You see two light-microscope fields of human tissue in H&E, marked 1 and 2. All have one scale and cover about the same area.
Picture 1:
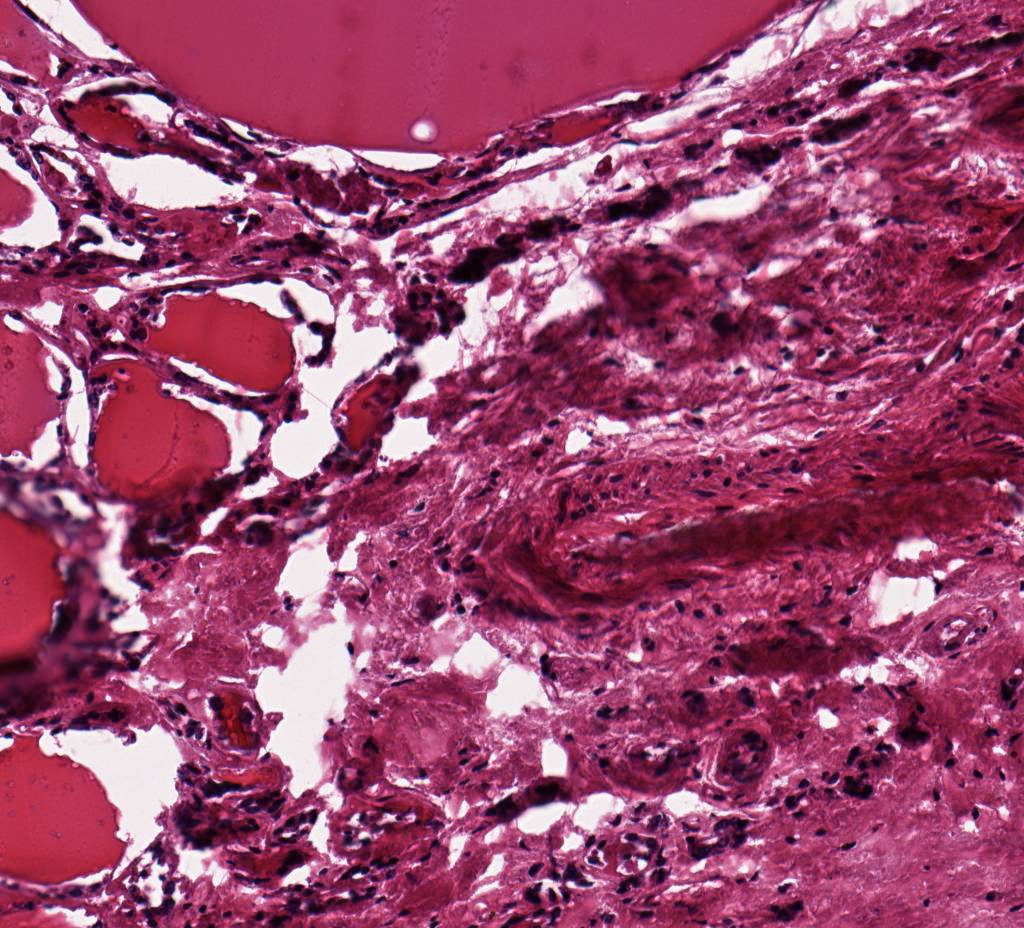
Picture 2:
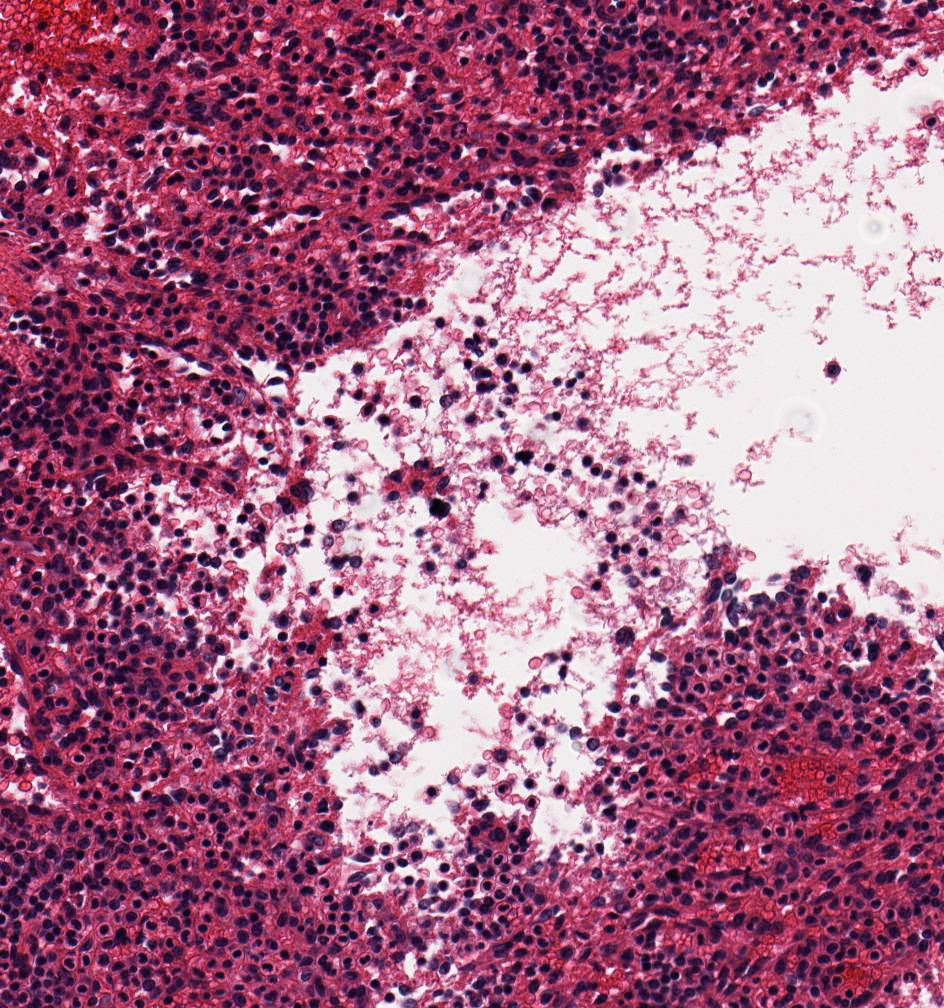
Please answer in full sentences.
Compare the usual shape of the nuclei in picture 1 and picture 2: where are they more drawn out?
It is picture 1 whose nuclei are the more elongated.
